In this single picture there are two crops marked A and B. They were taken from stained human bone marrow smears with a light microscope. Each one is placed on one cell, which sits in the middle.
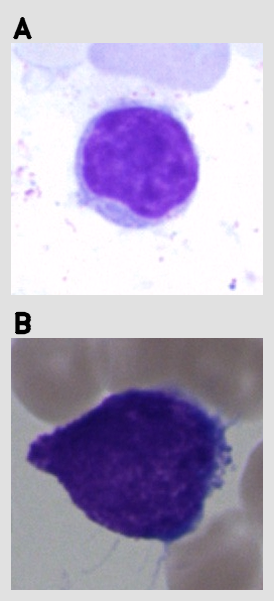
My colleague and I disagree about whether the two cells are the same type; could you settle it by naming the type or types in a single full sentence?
No, crop A depicts a lymphocyte, and crop B depicts a blast.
